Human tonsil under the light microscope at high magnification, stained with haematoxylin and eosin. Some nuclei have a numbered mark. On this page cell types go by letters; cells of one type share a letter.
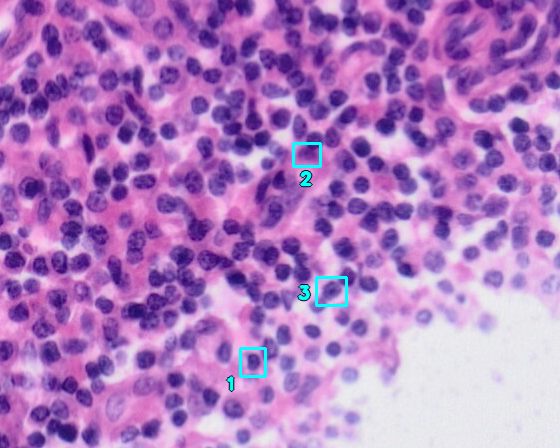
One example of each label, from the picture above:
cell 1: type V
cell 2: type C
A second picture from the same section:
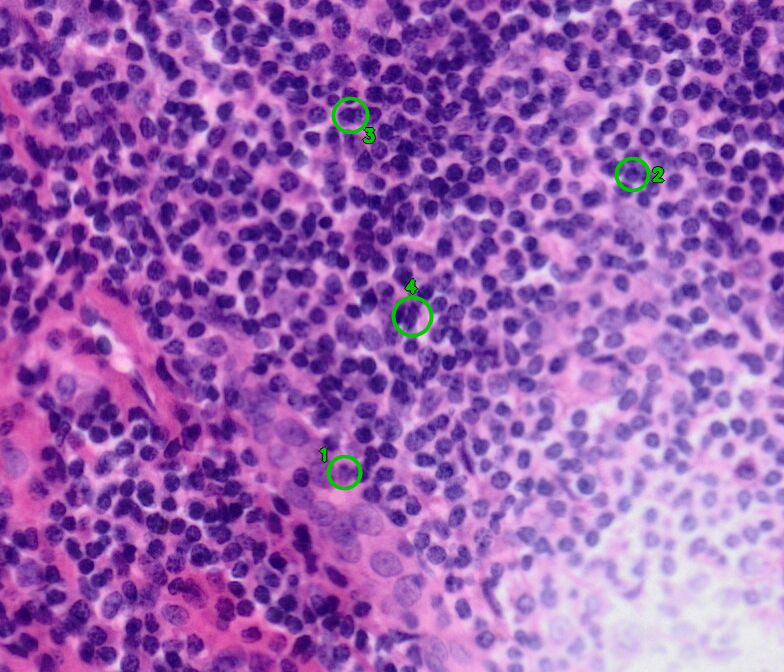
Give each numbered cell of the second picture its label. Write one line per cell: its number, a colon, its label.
1: type C
2: type V
3: type V
4: type V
